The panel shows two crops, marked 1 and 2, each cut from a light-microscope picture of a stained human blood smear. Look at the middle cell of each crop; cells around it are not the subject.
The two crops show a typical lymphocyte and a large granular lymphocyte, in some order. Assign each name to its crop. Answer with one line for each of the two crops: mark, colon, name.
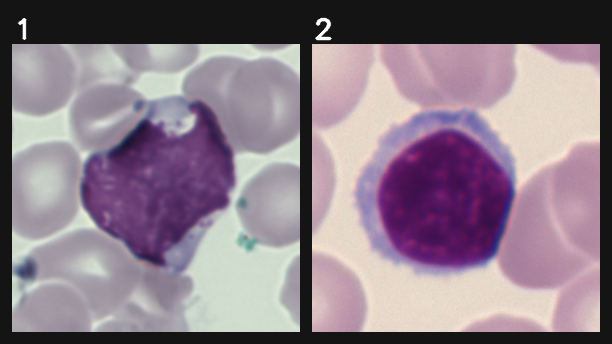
1: large granular lymphocyte
2: typical lymphocyte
